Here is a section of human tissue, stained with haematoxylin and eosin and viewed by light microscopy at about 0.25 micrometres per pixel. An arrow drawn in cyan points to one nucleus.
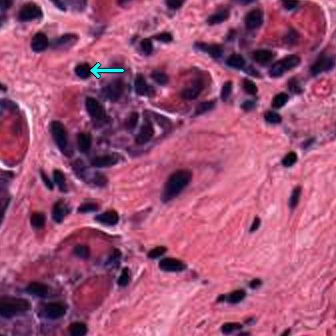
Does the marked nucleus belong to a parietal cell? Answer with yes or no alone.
no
